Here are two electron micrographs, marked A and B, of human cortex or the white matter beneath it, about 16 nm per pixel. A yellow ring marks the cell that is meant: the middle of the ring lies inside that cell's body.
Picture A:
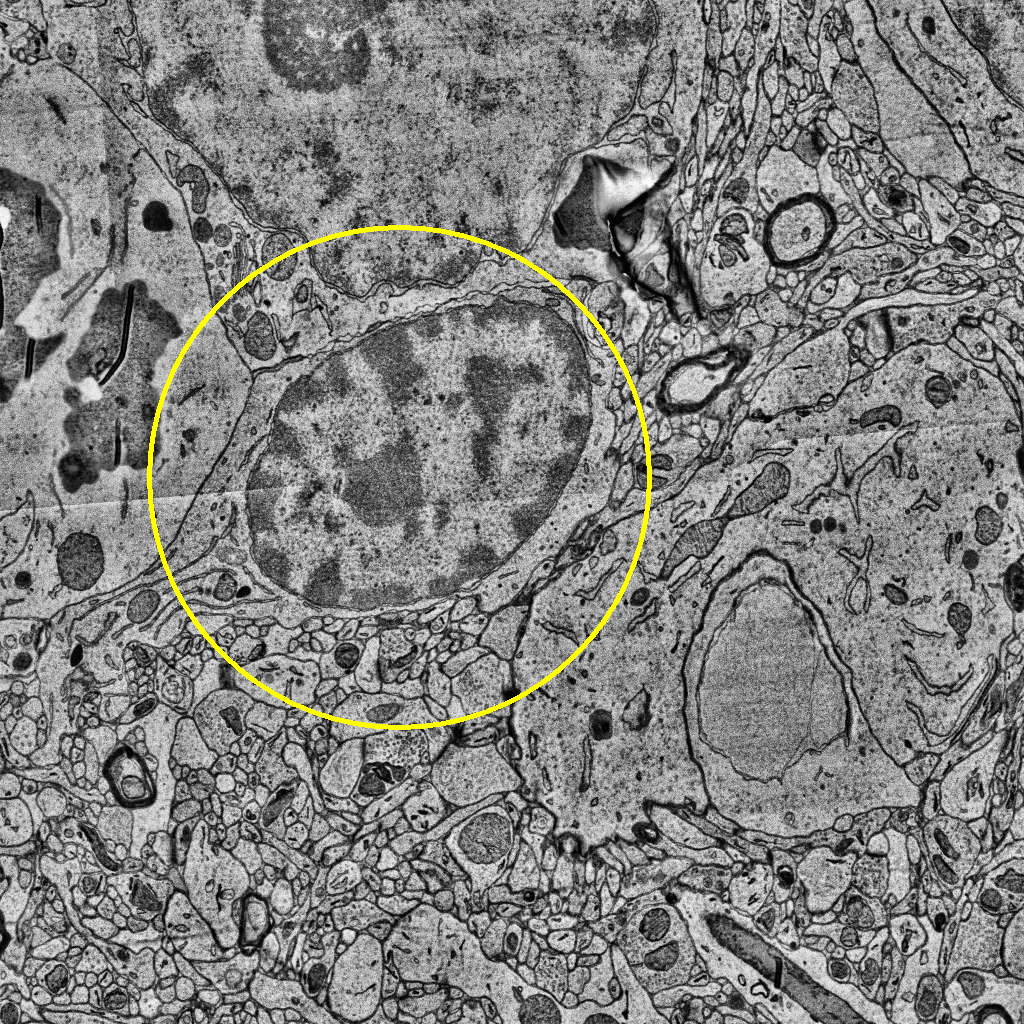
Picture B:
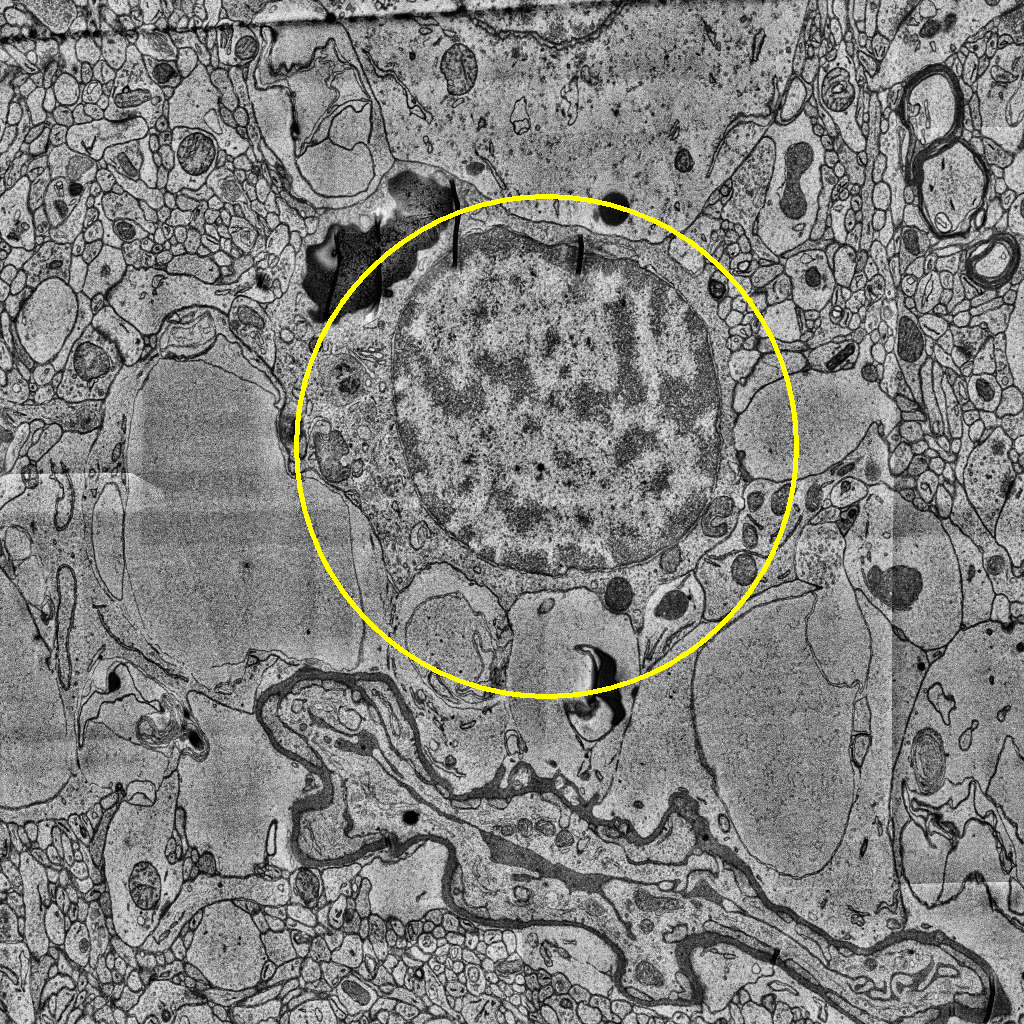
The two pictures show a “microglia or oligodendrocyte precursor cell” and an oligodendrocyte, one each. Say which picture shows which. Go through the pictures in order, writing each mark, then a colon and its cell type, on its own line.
A: microglia or oligodendrocyte precursor cell
B: oligodendrocyte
